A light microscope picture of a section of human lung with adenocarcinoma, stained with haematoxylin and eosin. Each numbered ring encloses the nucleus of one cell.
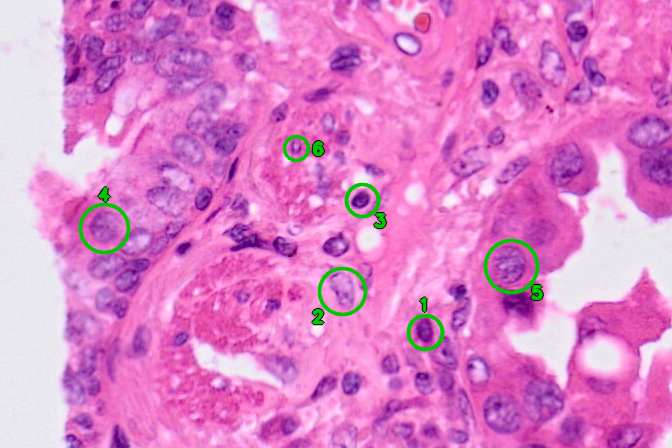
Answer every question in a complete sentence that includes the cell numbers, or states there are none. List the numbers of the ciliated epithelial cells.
Among the numbered cells, the one that is a ciliated epithelial cell is cell 4 alone.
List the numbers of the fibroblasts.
Among the numbered nuclei, only the one labelled 2 belongs to a fibroblast.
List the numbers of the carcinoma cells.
Among the labelled cells, only the cell labelled 5 is a carcinoma cell.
